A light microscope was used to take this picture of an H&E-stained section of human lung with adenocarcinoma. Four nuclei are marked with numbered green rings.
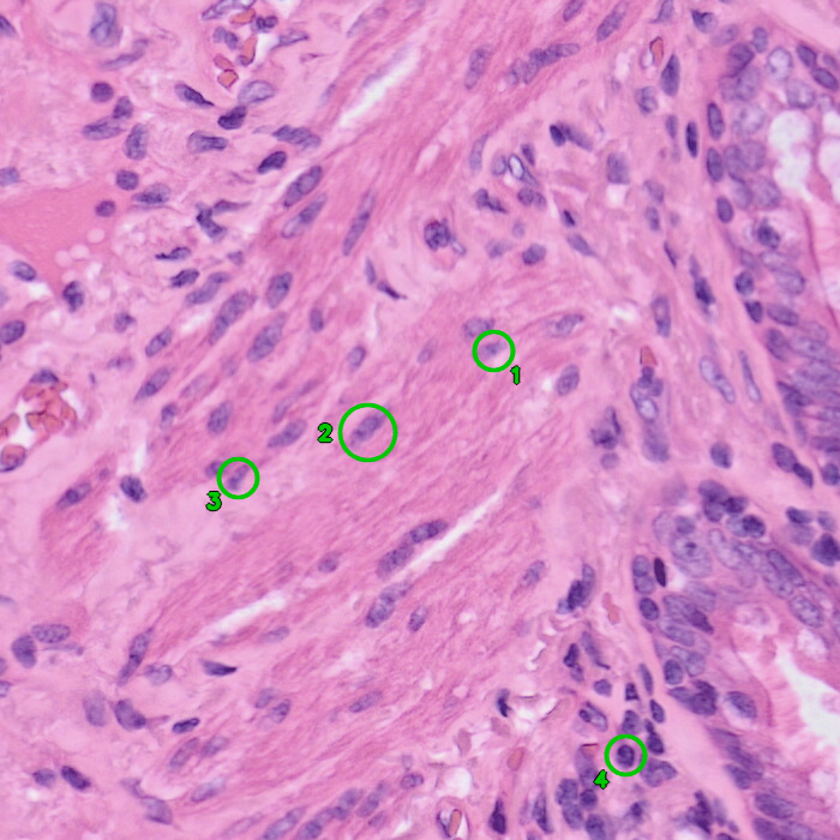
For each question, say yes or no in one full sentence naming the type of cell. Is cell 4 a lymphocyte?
Yes, as for number 4, the cell is a lymphocyte.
